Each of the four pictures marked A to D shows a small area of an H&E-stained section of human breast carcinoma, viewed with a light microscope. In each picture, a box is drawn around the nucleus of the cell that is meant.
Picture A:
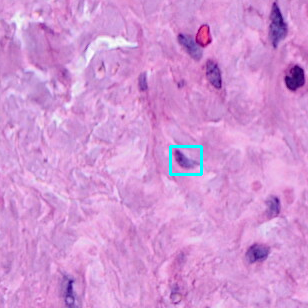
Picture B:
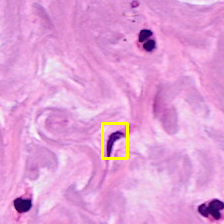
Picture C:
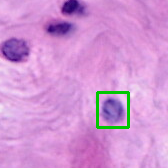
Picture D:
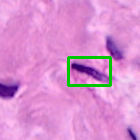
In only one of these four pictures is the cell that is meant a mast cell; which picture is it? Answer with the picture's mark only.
C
